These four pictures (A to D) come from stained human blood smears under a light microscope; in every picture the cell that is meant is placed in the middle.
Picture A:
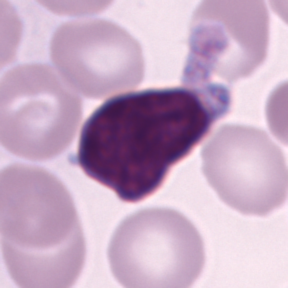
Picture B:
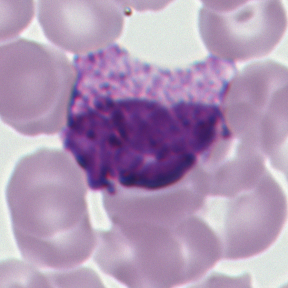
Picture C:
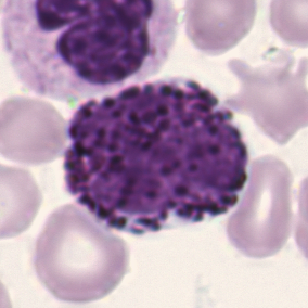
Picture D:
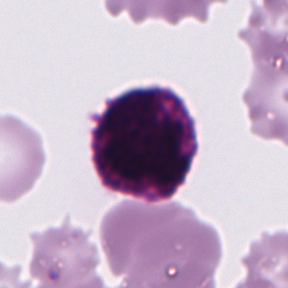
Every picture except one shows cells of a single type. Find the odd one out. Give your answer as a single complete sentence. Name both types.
All pictures except A show basophils; picture A shows a typical lymphocyte.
